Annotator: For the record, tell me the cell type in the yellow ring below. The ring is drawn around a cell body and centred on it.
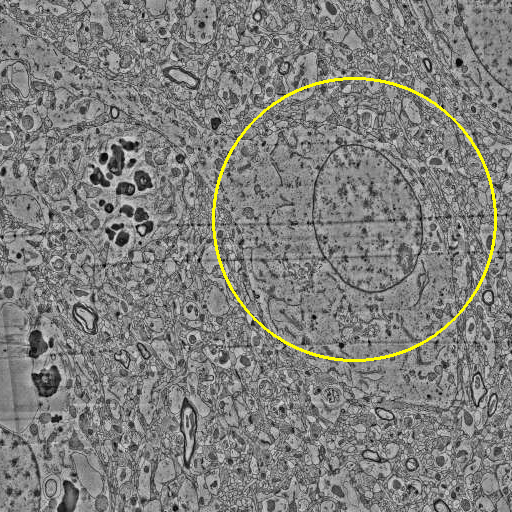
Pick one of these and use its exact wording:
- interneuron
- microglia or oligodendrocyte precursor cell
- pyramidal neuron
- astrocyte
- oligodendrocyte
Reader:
pyramidal neuron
